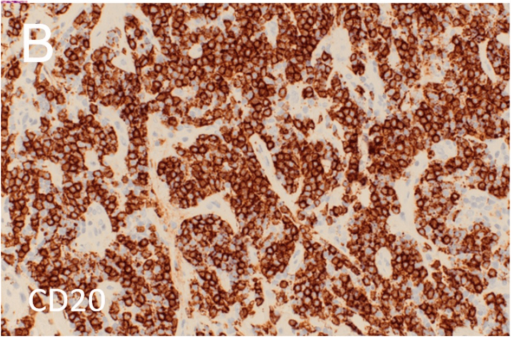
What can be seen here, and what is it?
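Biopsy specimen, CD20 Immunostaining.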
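Here the tumor cells stand out in dense brown-stained sheets, with the stain outlining each round cell at its membrane. Nearly all of the lymphoid cells in the field are stained, forming solid clusters and cords. Between them run pale, unstained fibrous strands and spaces containing a few blue-counterstained nuclei. The cells are fairly uniform, small to medium in size.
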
